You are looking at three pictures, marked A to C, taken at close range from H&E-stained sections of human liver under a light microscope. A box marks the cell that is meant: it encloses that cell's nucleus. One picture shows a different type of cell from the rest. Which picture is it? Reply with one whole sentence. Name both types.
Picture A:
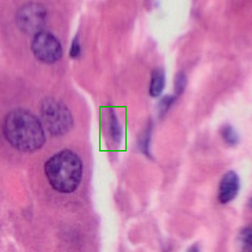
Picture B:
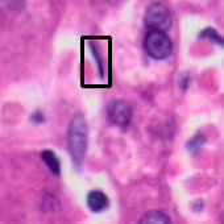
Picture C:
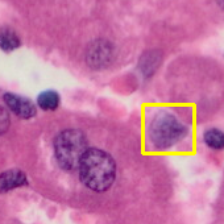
The different one is picture A; it shows a “fibroblast or stellate cell”, whereas all the others show endothelial cells.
